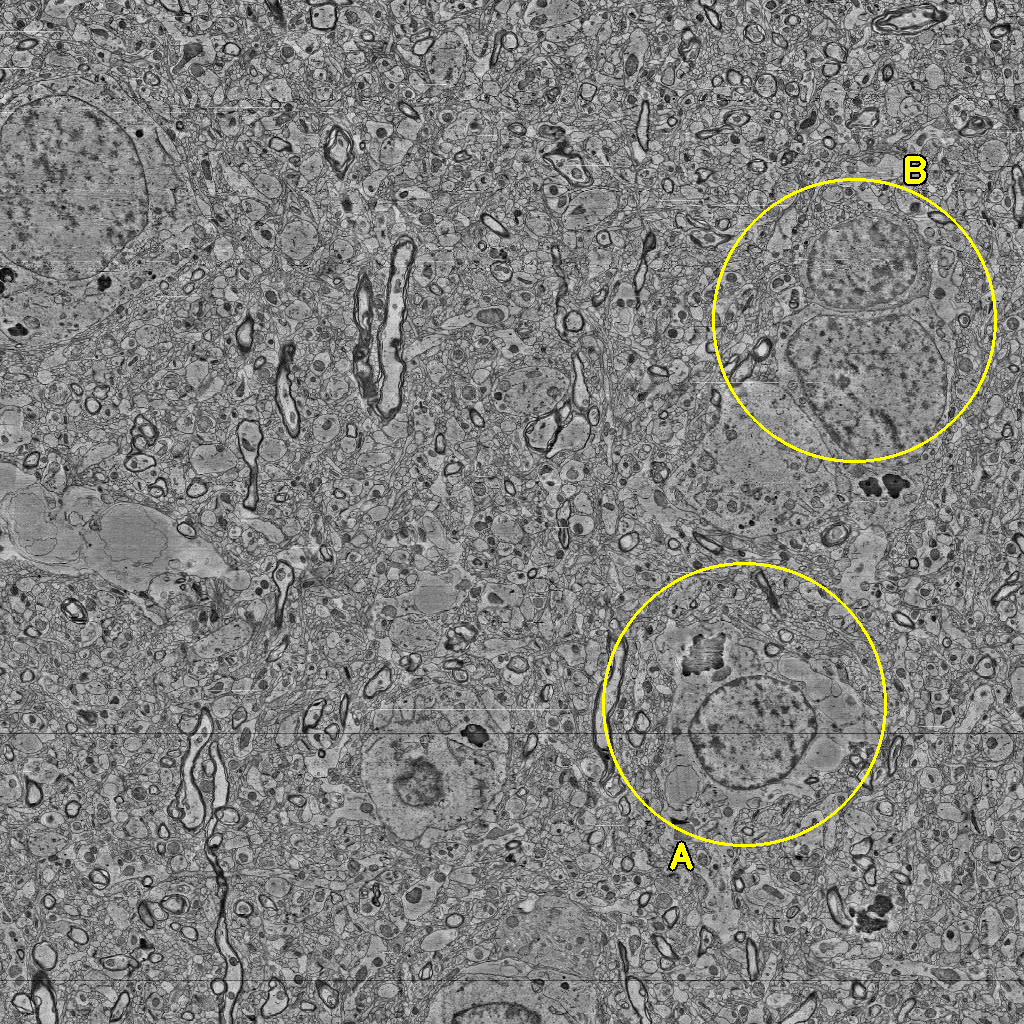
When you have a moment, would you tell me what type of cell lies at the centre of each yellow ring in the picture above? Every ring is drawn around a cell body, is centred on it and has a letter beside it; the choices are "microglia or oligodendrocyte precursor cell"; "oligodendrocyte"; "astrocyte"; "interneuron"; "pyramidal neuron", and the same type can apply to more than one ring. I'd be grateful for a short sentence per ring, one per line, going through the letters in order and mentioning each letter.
The cell at the centre of ring A is an astrocyte.
The cell at the centre of ring B is an interneuron.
